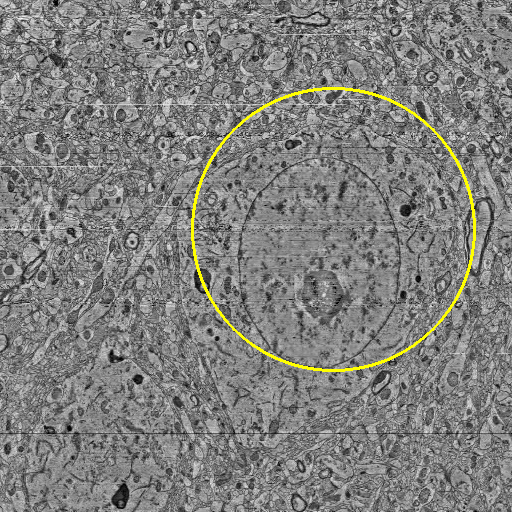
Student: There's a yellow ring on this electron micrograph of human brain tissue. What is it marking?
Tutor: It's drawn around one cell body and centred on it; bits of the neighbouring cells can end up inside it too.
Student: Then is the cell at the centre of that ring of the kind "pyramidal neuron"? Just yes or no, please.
yes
